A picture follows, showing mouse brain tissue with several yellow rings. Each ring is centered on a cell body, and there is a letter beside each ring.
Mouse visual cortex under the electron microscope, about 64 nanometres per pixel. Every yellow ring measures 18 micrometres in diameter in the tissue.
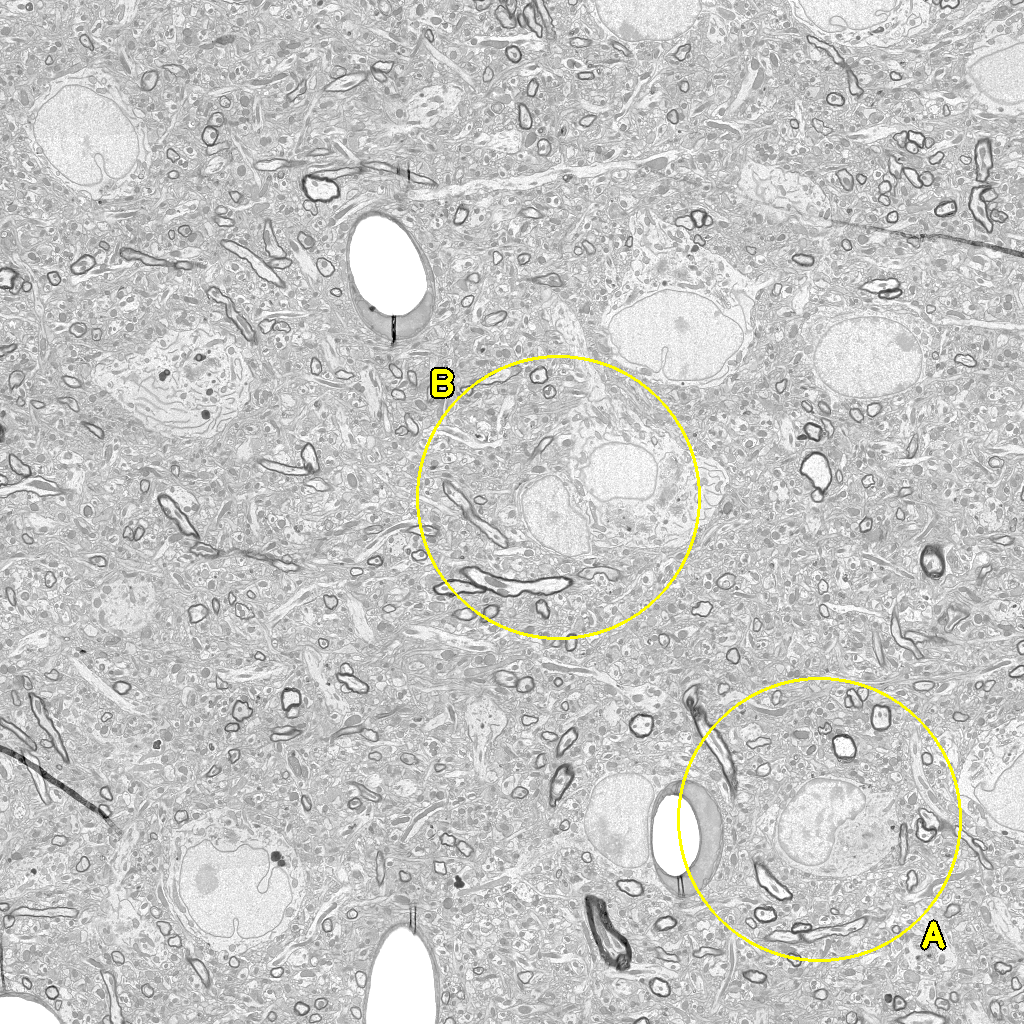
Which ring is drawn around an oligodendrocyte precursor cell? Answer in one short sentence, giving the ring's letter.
Ring B is drawn around it.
